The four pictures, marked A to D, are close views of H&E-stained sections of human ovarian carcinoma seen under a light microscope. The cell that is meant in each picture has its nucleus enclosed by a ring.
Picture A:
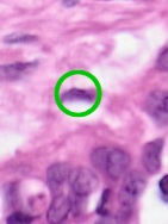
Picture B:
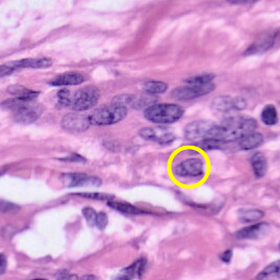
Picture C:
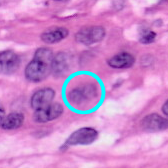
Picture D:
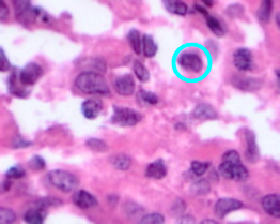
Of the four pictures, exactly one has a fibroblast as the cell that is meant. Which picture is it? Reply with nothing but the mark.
A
